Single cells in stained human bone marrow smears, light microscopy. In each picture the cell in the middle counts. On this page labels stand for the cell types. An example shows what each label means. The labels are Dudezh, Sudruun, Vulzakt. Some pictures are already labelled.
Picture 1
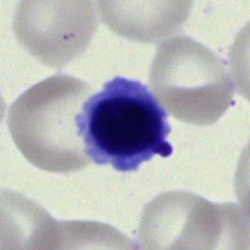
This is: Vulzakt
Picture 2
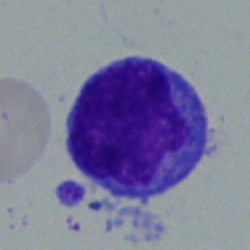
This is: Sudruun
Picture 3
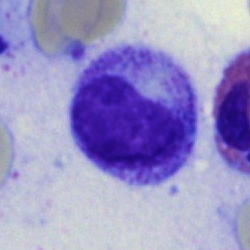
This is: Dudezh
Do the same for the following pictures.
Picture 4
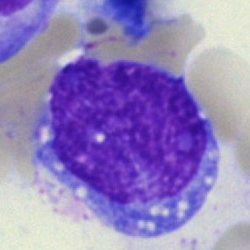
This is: Sudruun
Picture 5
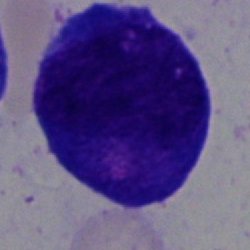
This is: Sudruun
